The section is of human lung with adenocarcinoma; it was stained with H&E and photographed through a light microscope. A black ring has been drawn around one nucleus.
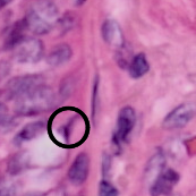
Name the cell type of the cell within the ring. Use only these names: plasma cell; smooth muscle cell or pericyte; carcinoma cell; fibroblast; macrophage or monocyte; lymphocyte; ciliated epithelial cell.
ciliated epithelial cell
